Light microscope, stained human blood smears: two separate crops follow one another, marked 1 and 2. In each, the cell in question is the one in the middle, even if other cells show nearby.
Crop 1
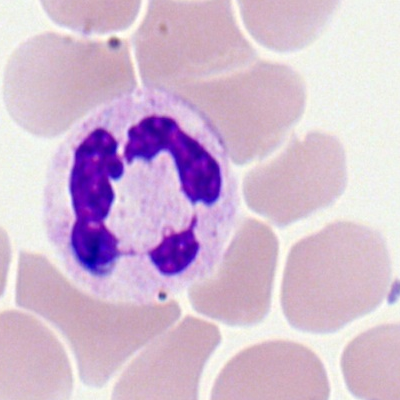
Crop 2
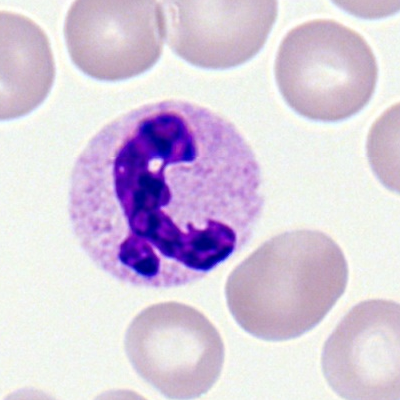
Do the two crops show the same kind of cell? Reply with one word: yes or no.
yes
